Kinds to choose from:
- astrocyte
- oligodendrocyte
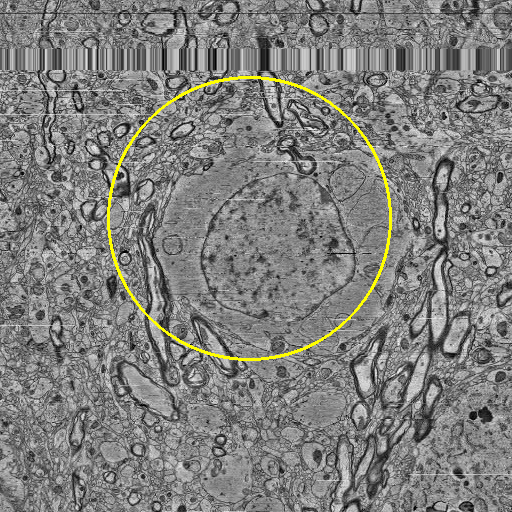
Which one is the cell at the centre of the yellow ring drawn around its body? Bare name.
astrocyte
